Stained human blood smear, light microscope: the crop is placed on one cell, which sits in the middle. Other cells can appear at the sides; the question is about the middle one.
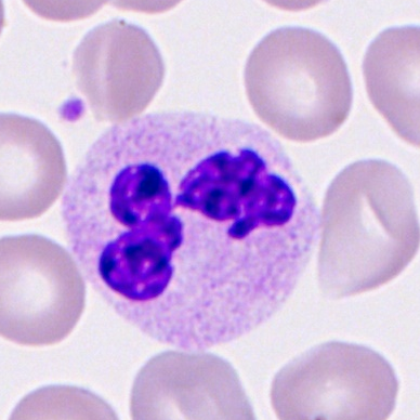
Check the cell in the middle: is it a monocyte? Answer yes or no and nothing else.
no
